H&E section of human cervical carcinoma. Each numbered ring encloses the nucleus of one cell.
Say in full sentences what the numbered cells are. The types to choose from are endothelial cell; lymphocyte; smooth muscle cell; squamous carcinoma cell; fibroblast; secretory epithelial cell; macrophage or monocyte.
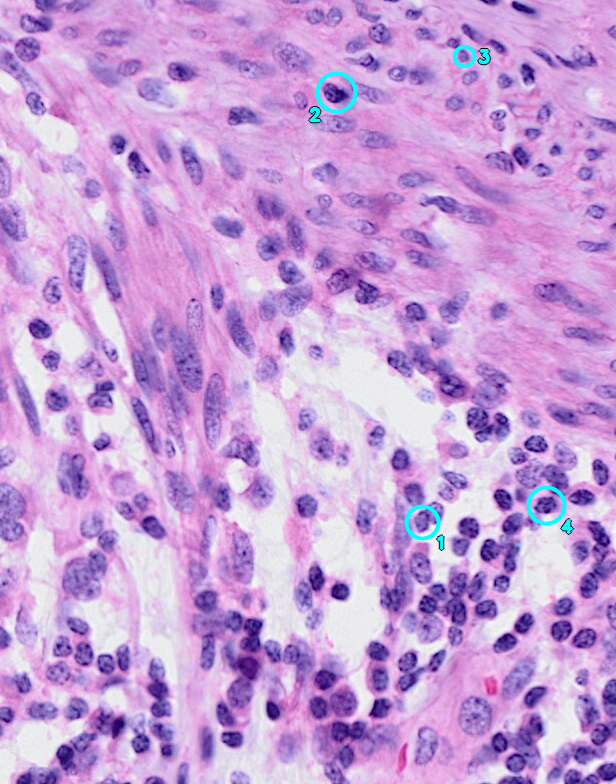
Cell 1 is a lymphocyte, cell 2 is a lymphocyte, cell 3 is a smooth muscle cell and cell 4 is a lymphocyte.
